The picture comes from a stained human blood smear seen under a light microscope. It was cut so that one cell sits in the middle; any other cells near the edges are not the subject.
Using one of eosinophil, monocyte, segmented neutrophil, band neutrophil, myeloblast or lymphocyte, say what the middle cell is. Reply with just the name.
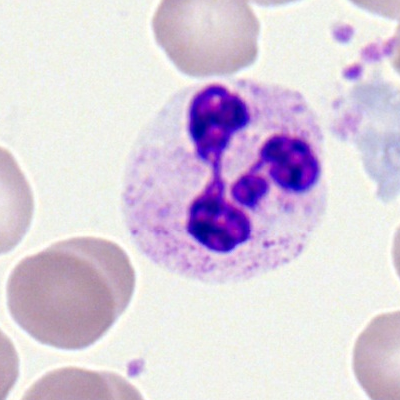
segmented neutrophil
